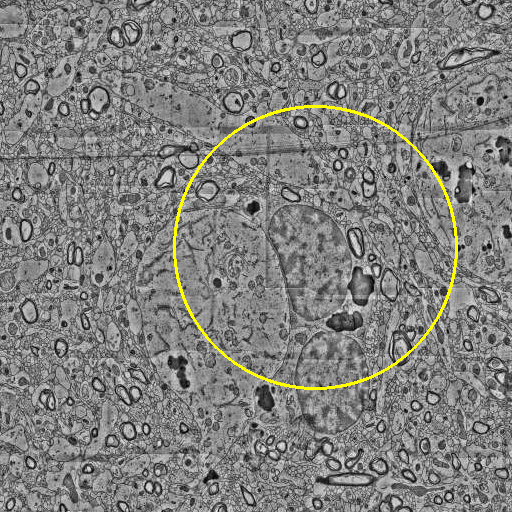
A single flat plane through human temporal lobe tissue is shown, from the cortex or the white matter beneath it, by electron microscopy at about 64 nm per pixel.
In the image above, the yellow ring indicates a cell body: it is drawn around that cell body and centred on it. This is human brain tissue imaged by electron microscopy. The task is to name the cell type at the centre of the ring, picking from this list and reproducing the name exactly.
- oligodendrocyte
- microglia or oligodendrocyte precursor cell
oligodendrocyte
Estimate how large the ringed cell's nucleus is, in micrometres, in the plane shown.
Approximately 8 micrometres long and 6 micrometres wide, in this plane.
